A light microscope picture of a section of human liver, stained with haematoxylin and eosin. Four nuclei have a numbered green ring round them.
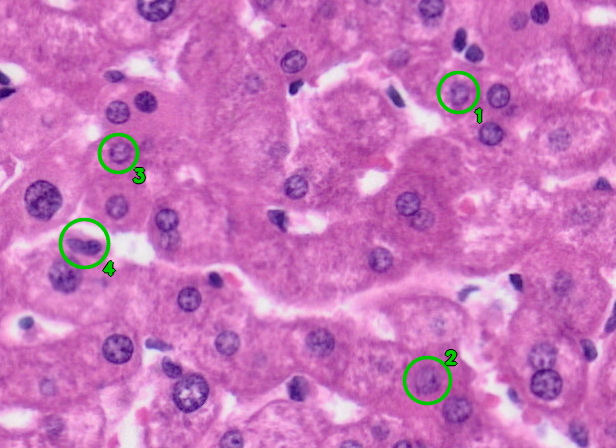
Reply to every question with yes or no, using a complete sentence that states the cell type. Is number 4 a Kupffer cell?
Yes, the one numbered 4 is a Kupffer cell.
